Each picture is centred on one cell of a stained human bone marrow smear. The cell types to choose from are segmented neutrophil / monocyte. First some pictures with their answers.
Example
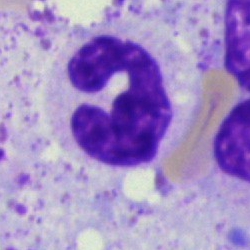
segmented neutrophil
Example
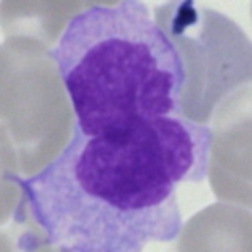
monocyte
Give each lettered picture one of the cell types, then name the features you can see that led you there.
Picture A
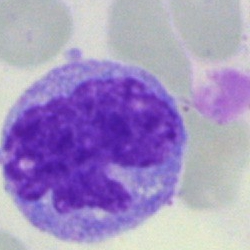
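monocyte. The nucleus fills most of the cell.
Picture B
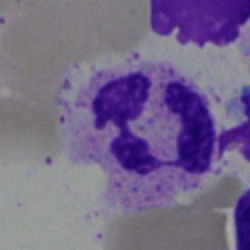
segmented neutrophil. Small purple granules are scattered through the cytoplasm.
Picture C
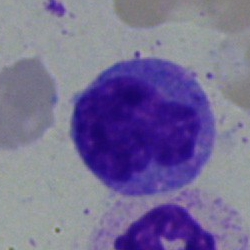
monocyte. The nucleus fills most of the cell.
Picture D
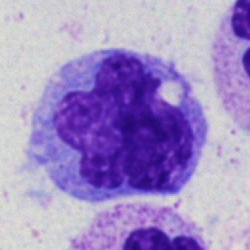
monocyte. The nucleus fills most of the cell, leaving a rim of cytoplasm around it.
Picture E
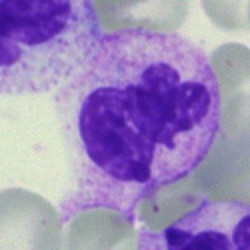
segmented neutrophil. The cytoplasm is abundant and pale pink-lilac.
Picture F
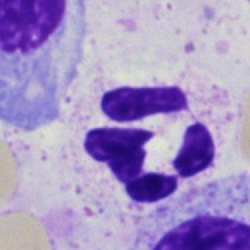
segmented neutrophil. Fine pink-violet granules are scattered throughout the cytoplasm.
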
